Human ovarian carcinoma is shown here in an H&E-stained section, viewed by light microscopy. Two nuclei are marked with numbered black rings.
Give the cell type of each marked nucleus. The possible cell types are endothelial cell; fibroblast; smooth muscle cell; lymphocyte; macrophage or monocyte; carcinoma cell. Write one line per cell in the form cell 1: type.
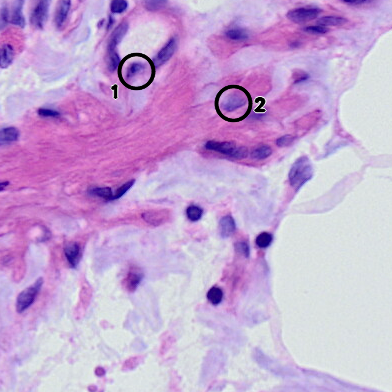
cell 1: endothelial cell
cell 2: smooth muscle cell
